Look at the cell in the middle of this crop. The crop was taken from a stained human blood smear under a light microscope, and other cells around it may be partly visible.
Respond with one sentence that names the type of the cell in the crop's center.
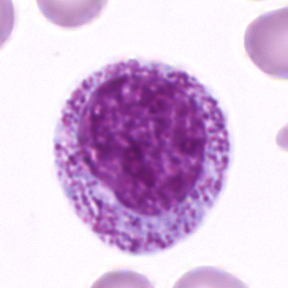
In short, the cell at the center is a myelocyte.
